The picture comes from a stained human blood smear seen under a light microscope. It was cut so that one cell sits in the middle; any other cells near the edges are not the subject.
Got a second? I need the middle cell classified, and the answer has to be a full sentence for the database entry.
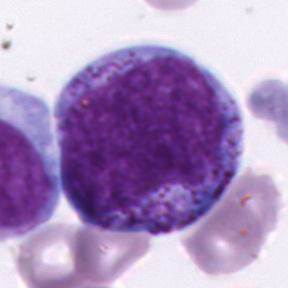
The middle position in this crop is taken by a promyelocyte.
